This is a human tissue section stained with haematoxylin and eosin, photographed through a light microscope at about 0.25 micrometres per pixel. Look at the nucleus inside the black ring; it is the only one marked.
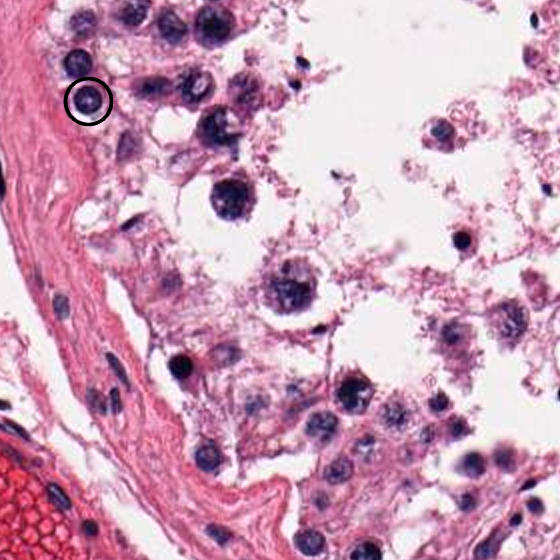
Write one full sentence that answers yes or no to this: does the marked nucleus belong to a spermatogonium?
Yes, it is a spermatogonium that holds the marked nucleus.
